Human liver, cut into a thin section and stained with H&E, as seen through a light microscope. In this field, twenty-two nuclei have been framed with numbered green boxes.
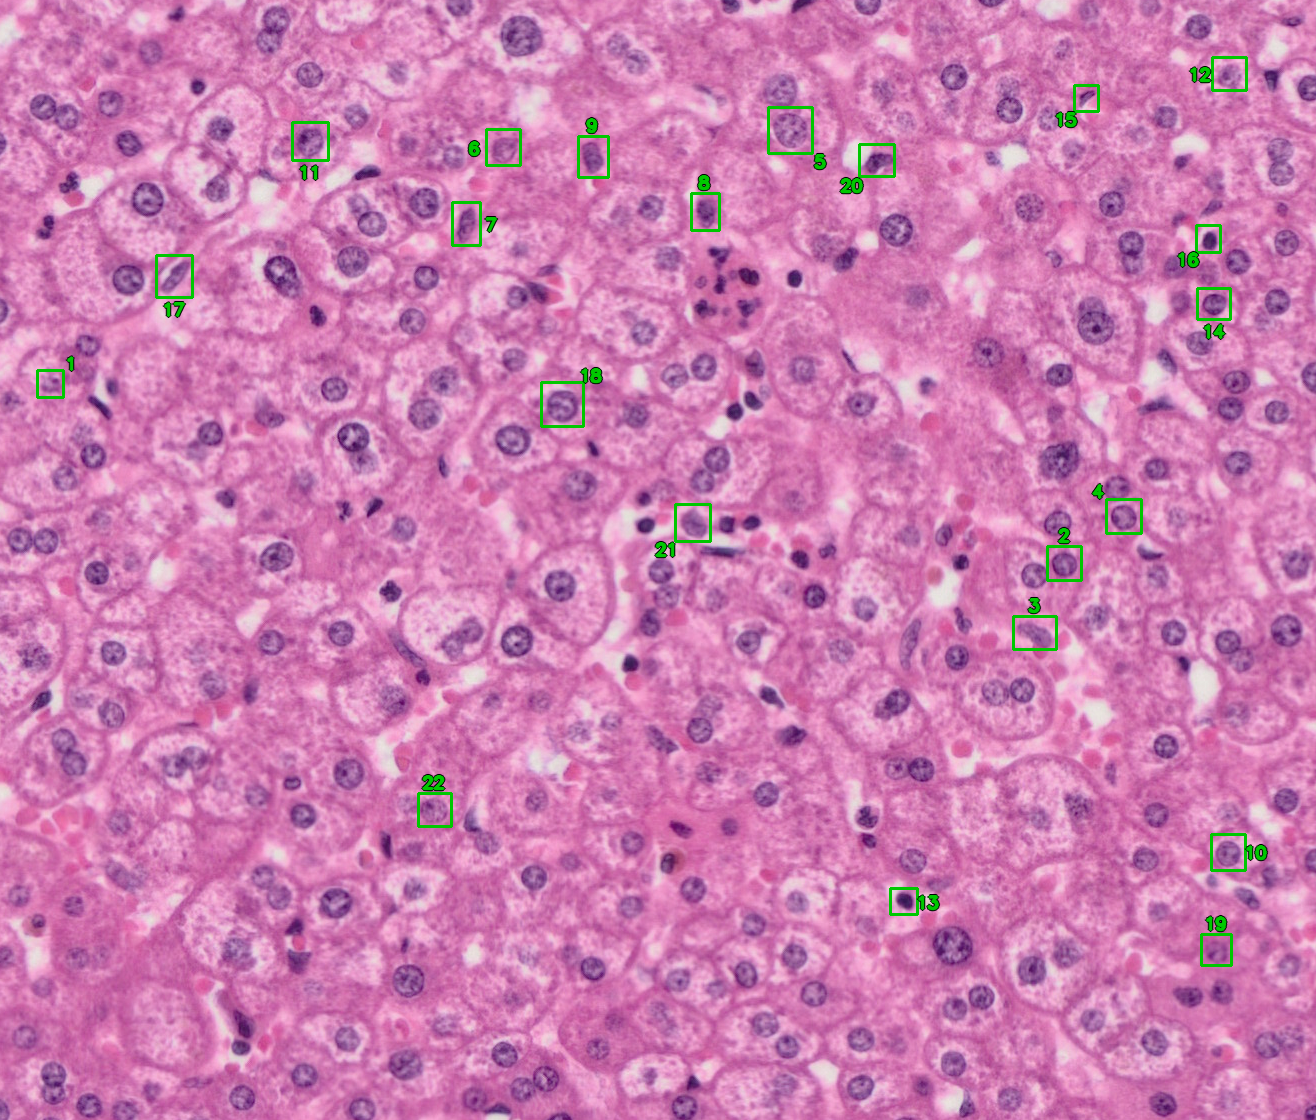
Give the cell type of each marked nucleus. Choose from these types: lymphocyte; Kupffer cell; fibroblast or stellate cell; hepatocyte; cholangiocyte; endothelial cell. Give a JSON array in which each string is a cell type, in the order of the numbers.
["hepatocyte", "hepatocyte", "Kupffer cell", "hepatocyte", "hepatocyte", "hepatocyte", "Kupffer cell", "Kupffer cell", "Kupffer cell", "hepatocyte", "hepatocyte", "hepatocyte", "lymphocyte", "hepatocyte", "endothelial cell", "lymphocyte", "Kupffer cell", "hepatocyte", "hepatocyte", "Kupffer cell", "Kupffer cell", "hepatocyte"]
